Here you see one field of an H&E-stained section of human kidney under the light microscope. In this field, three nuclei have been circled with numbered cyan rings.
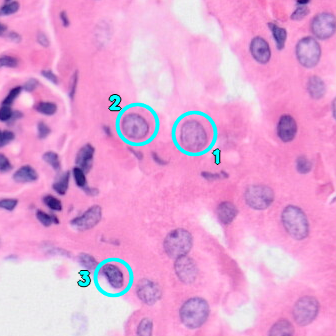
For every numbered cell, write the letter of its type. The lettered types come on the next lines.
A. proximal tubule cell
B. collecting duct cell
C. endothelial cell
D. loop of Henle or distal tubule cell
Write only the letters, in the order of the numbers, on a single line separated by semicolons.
A; A; D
